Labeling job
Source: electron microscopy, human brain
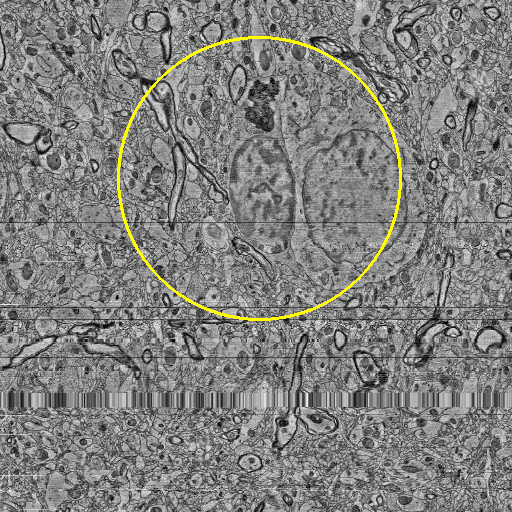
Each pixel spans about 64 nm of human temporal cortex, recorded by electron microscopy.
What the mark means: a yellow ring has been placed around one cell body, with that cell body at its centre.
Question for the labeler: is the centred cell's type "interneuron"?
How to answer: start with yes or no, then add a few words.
No, its type is another one.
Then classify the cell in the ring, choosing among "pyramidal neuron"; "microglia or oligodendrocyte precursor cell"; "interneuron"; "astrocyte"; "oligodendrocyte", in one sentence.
The cell at the middle of the ring is an oligodendrocyte.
